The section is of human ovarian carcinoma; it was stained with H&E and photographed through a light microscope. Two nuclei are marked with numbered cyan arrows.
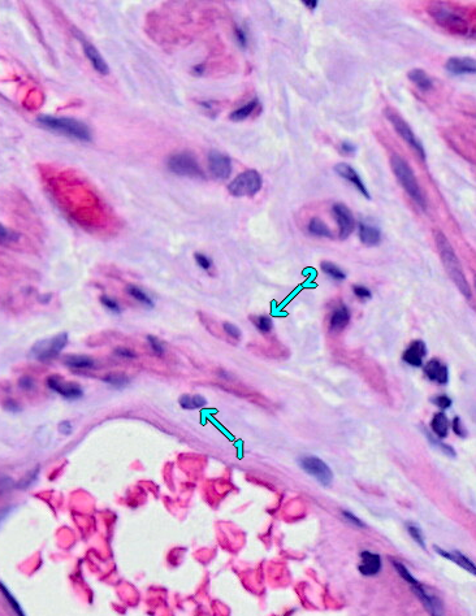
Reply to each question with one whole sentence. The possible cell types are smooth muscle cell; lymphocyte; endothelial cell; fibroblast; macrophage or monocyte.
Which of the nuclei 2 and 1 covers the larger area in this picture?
It is nucleus 1, which covers about 2 times the area of nucleus 2.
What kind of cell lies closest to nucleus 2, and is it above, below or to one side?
The closest nucleus belongs to a smooth muscle cell and sits to the left of nucleus 2.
